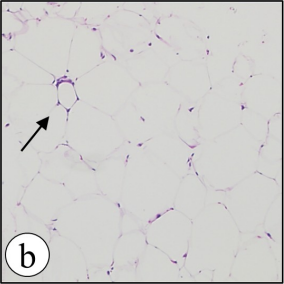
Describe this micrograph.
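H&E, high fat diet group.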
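This is white adipose tissue, made almost entirely of large adipocytes. Each cell appears as an empty, pale polygon because its single large lipid droplet was dissolved during processing, leaving only a thin pink-purple rim of cytoplasm and membrane. The cells here vary widely in size, with many very large ones. Flattened dark nuclei sit sparsely at the cell edges. In one spot, small dark purple nuclei cluster around the rim of a single adipocyte, forming a ring of inflammatory cells around it, a crown-like structure. Between the adipocytes are only thin strands of stroma.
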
